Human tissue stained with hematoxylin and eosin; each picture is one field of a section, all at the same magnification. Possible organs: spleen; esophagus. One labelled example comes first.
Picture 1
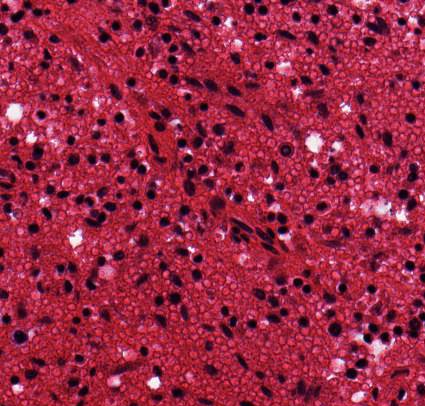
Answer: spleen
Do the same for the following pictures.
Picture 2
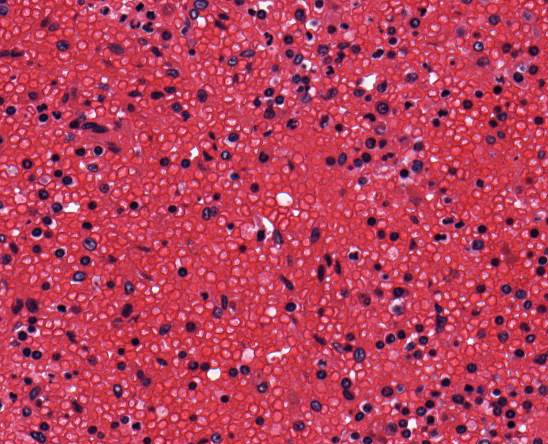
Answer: spleen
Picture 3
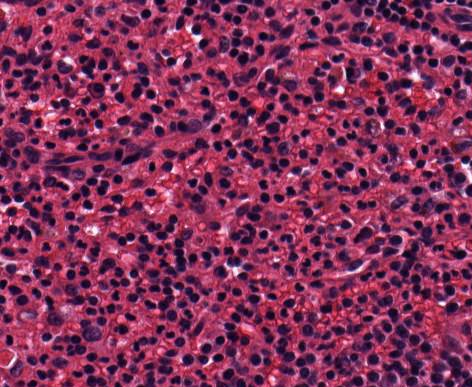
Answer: spleen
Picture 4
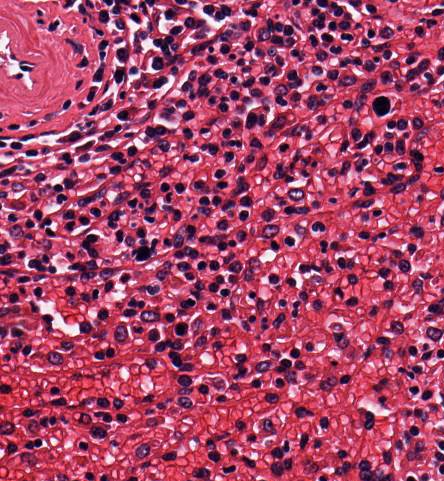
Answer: spleen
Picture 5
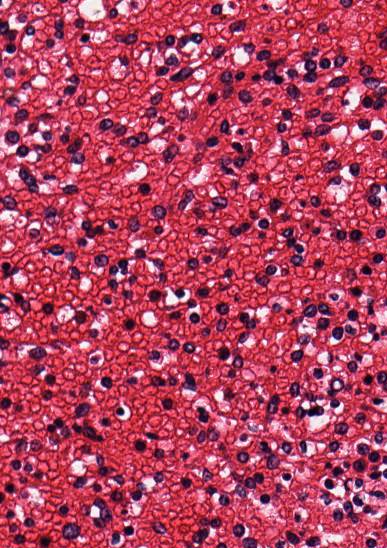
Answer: spleen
